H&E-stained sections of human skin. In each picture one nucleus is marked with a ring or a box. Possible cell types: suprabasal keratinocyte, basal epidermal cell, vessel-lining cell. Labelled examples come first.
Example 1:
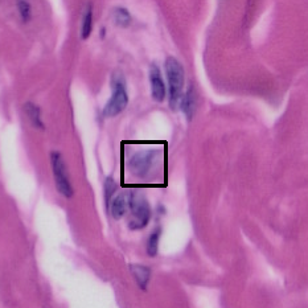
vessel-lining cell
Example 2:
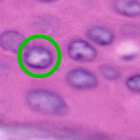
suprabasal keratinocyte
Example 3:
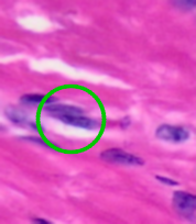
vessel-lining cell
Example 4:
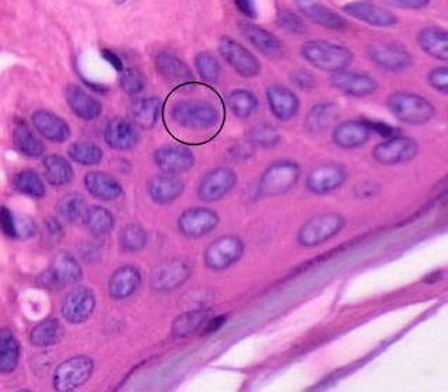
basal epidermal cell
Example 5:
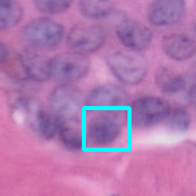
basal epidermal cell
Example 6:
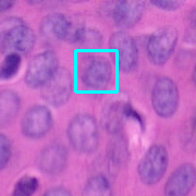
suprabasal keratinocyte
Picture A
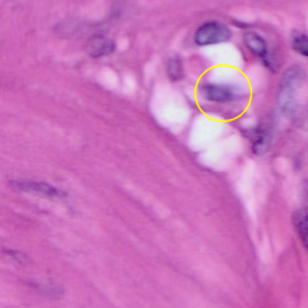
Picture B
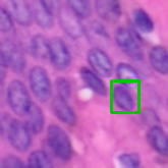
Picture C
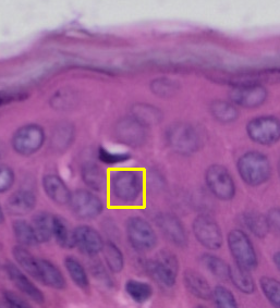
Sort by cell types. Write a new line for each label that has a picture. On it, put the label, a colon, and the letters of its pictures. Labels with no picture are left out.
basal epidermal cell: B, C
vessel-lining cell: A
